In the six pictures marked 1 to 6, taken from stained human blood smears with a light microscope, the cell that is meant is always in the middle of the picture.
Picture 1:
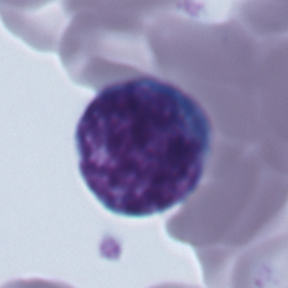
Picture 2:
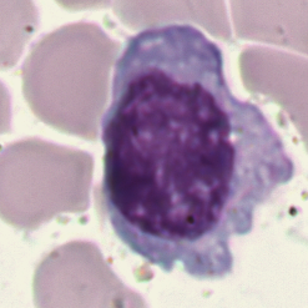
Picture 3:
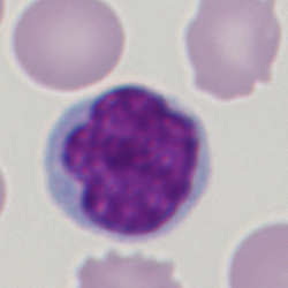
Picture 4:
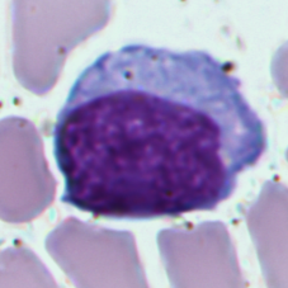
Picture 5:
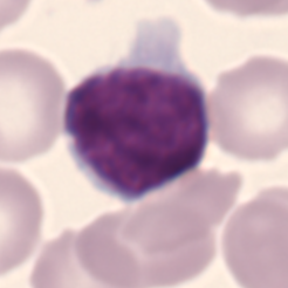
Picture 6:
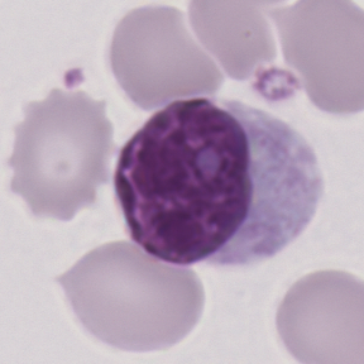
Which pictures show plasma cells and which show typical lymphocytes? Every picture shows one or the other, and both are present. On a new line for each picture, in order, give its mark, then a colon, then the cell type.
1: typical lymphocyte
2: plasma cell
3: typical lymphocyte
4: plasma cell
5: typical lymphocyte
6: plasma cell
